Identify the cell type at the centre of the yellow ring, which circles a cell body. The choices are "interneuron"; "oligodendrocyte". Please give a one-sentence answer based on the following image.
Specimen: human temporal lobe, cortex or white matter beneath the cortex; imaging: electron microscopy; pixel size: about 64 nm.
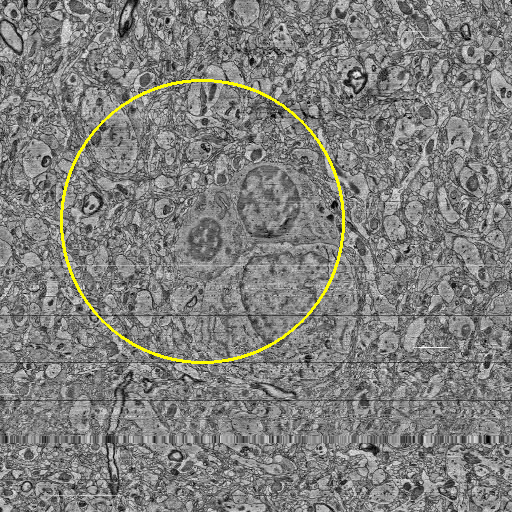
The cell marked by the ring is an oligodendrocyte.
